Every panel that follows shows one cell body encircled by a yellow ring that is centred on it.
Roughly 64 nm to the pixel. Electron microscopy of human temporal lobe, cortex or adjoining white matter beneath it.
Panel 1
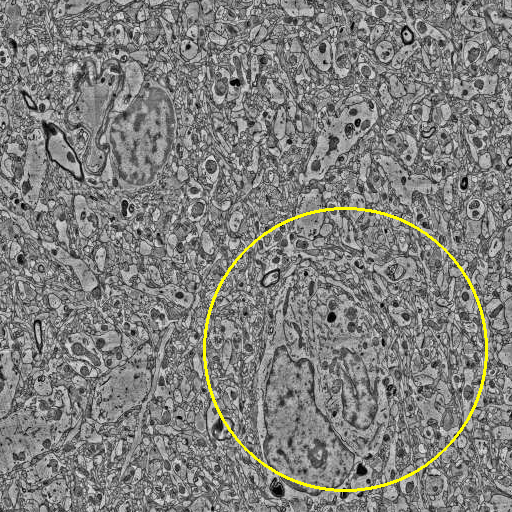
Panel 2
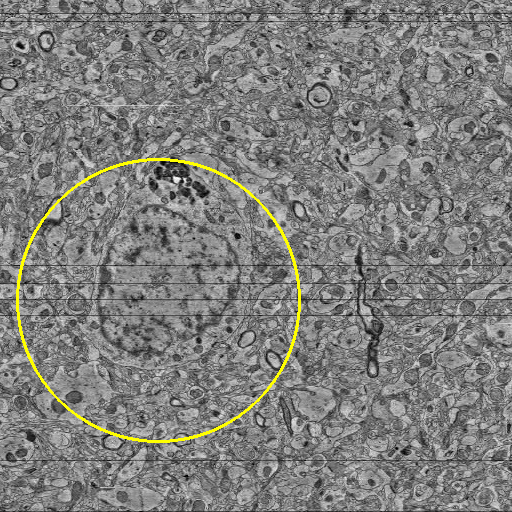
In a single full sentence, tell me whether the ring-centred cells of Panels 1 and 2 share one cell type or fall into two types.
In Panel 1 and Panel 2, the cells at the ring centres share one cell type.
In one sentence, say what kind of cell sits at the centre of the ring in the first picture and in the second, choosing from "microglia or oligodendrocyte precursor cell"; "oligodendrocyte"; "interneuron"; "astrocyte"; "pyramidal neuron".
Each one of the two ringed cells is an interneuron.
